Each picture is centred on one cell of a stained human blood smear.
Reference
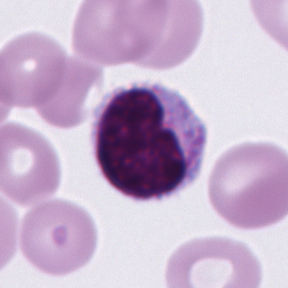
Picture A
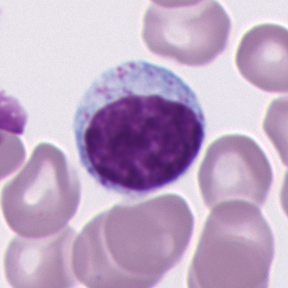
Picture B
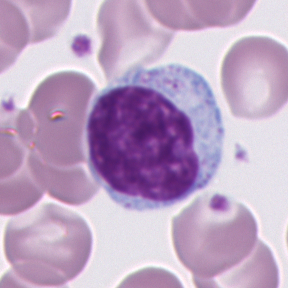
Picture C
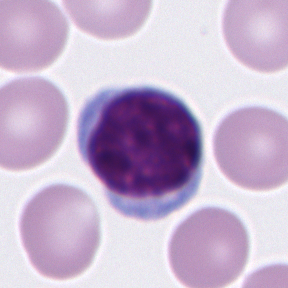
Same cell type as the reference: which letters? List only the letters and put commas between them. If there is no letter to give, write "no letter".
A, B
